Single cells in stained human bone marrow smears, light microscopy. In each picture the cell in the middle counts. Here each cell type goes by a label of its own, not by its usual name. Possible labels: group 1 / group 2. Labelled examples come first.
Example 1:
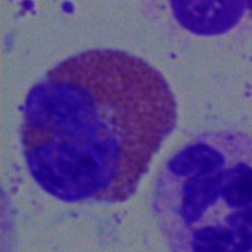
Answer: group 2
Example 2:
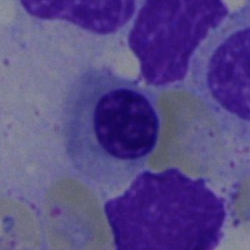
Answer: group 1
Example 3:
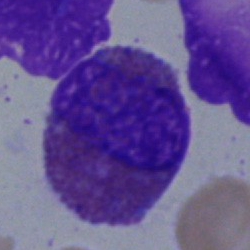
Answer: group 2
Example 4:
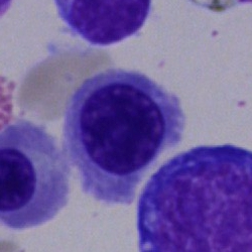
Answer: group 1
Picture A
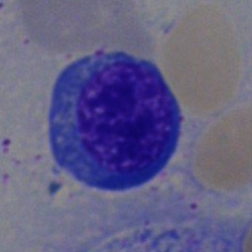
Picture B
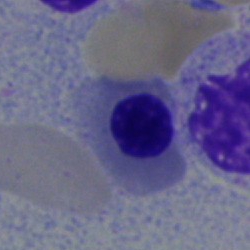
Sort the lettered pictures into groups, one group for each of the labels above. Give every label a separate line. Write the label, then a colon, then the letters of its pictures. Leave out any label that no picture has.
group 1: A, B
